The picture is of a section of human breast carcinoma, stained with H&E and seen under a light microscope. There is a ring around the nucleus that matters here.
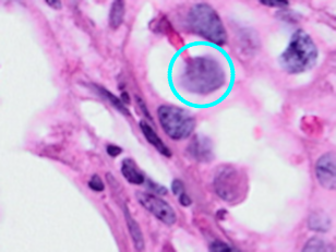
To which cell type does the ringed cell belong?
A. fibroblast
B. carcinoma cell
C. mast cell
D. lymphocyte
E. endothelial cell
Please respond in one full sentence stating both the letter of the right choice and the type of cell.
According to option B, the ringed cell is a carcinoma cell, and this is correct.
